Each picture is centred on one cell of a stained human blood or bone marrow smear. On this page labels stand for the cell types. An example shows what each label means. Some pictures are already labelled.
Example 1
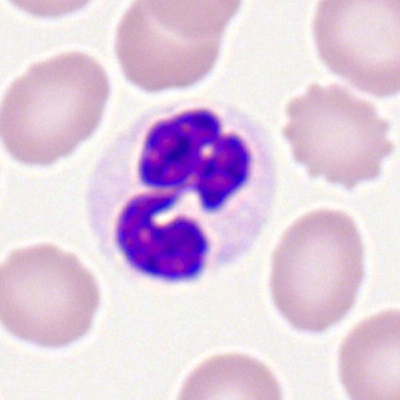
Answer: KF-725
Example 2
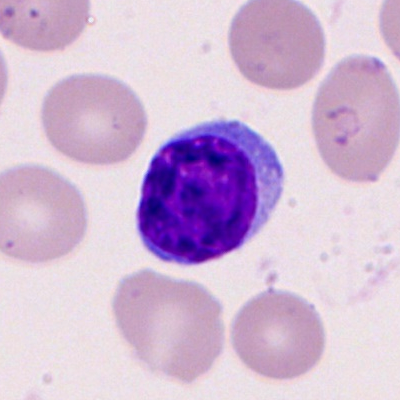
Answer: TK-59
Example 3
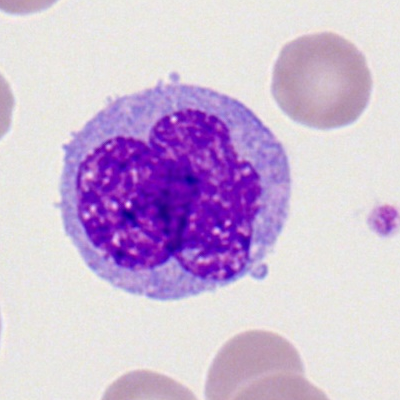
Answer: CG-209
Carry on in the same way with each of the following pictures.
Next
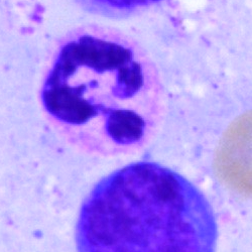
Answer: KF-725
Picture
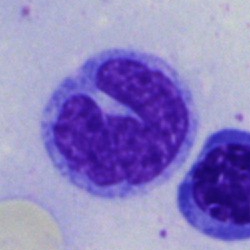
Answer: CG-209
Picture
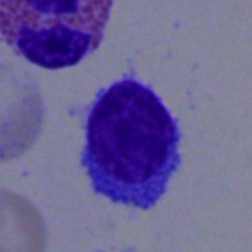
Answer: TK-59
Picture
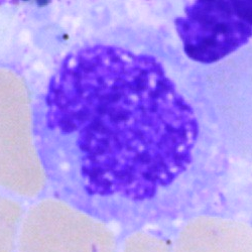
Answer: CG-209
